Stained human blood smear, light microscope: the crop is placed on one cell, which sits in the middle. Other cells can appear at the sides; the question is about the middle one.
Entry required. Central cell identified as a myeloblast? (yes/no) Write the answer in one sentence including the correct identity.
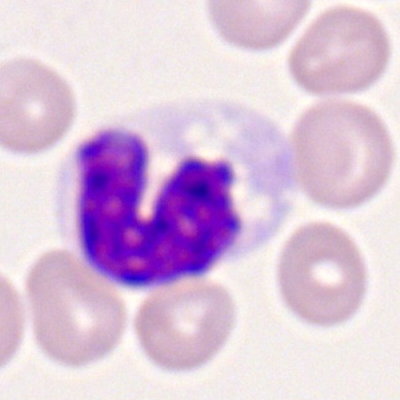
No, this cell in the middle is a monocyte, so it is not a myeloblast.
